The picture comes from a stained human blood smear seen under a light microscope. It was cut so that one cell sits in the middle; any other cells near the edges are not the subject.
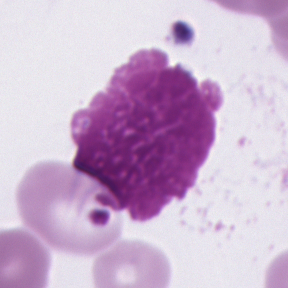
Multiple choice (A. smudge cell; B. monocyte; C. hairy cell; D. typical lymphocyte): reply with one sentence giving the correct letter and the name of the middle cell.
With the cell in the middle being a smudge cell, option A is the correct choice.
